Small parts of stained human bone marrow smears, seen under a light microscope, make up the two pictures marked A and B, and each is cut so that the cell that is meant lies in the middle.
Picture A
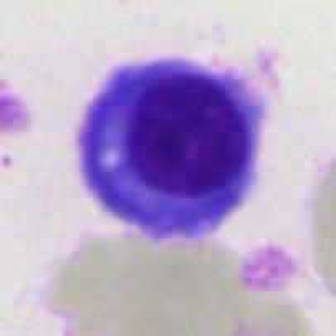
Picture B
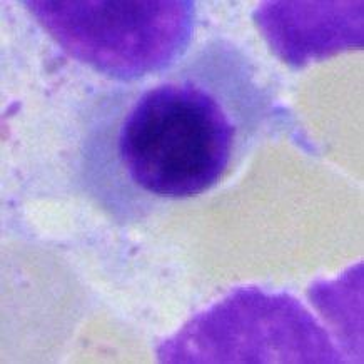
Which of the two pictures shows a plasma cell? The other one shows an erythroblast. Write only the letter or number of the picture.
A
